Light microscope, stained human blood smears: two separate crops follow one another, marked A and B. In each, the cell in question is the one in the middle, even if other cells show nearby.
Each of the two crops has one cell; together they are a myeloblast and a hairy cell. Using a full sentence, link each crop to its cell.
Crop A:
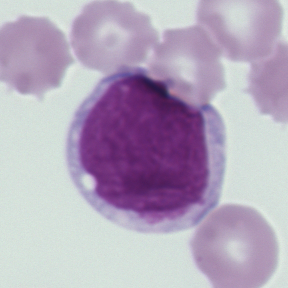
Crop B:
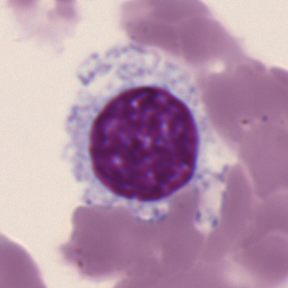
Shown in crop A is a myeloblast, and shown in crop B is a hairy cell.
